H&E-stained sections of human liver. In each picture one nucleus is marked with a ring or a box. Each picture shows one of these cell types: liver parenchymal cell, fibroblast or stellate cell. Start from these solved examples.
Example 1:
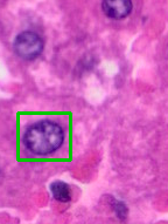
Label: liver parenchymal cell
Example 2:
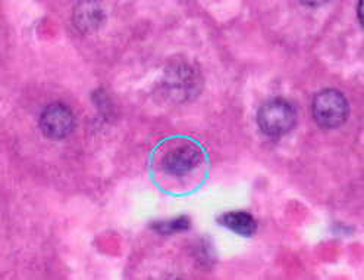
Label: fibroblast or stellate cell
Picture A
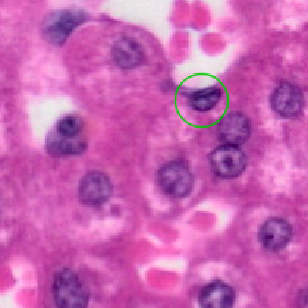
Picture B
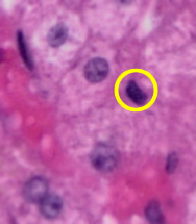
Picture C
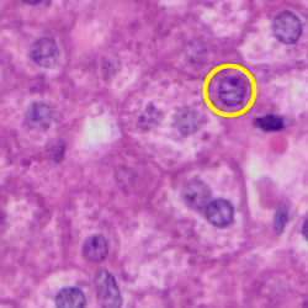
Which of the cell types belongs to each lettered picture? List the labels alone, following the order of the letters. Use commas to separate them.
fibroblast or stellate cell, fibroblast or stellate cell, liver parenchymal cell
